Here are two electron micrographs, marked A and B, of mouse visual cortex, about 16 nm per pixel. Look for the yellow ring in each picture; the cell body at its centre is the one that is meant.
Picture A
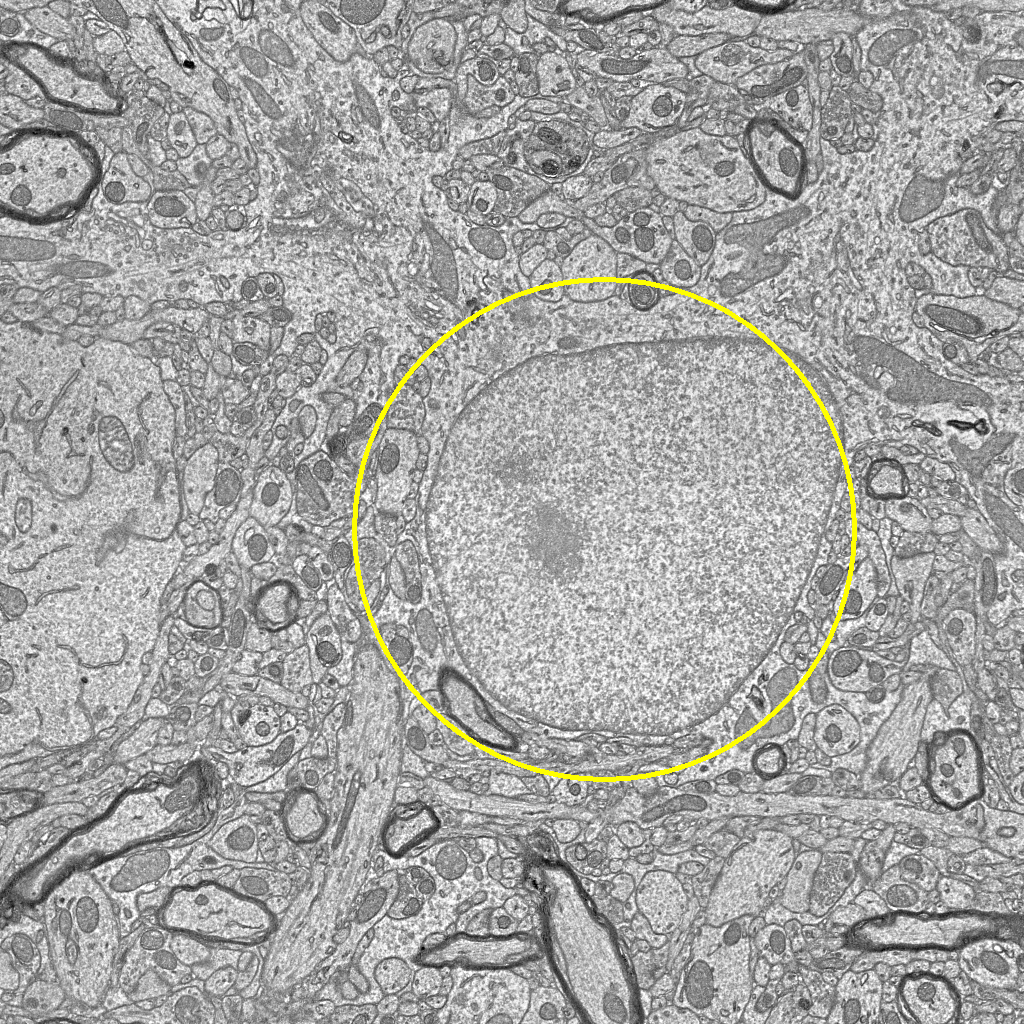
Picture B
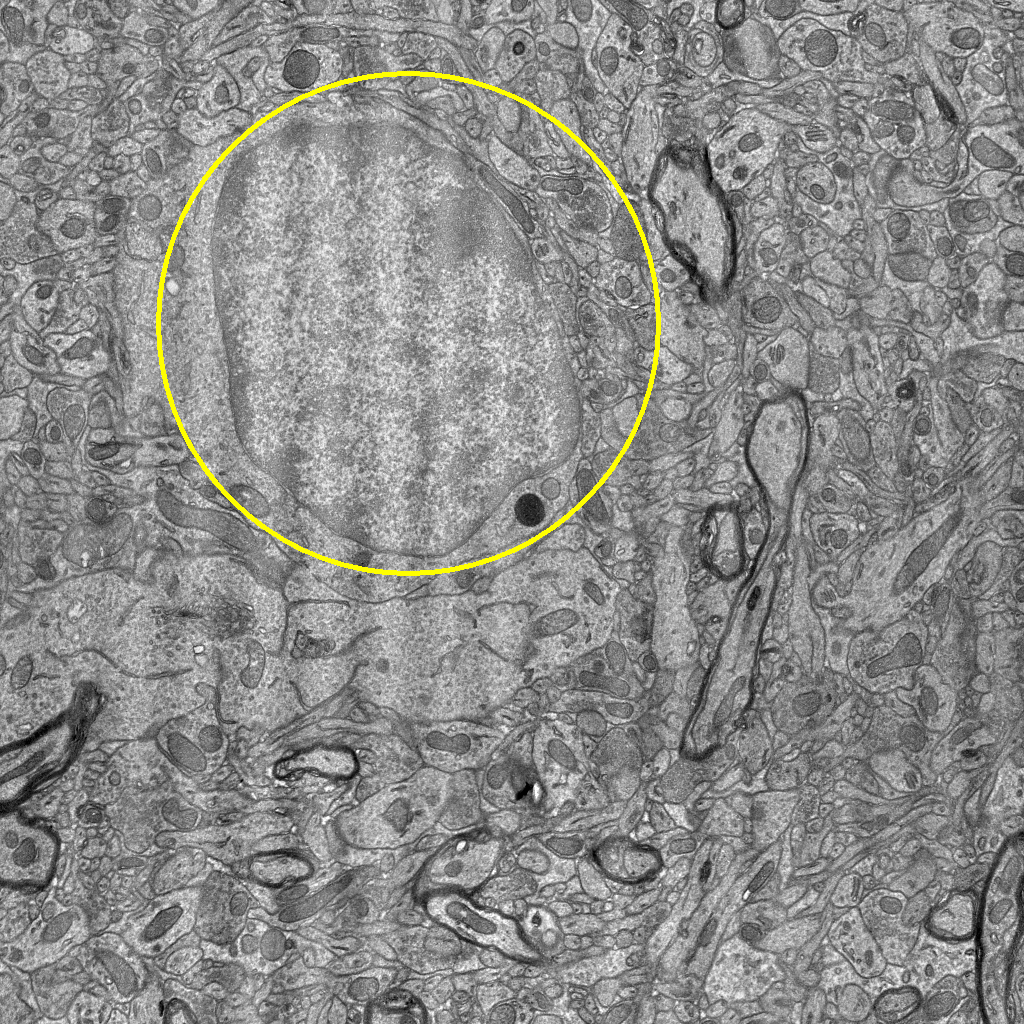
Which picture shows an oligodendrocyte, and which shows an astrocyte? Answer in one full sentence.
It is picture A that shows an astrocyte, and picture B that shows an oligodendrocyte.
